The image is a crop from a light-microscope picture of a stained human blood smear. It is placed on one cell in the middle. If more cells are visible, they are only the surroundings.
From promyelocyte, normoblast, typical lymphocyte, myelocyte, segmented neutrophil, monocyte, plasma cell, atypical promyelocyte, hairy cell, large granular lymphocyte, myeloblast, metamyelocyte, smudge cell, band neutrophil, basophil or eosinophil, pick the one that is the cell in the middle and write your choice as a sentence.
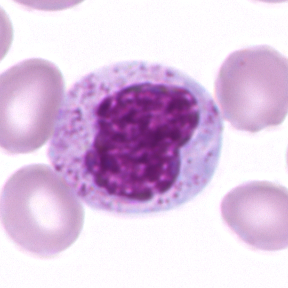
At the middle of the frame sits a metamyelocyte.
